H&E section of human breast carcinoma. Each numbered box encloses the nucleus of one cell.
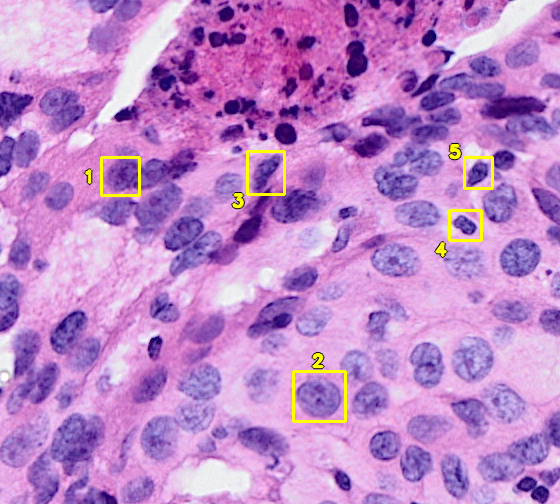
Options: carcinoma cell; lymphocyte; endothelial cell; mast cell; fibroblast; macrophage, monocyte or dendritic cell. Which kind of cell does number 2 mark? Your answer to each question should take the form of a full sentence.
Cell 2 in the field is a carcinoma cell.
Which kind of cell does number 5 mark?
Of the numbered cells, the one labelled 5 is a lymphocyte.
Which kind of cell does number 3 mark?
Corresponding to a carcinoma cell is the cell labelled 3.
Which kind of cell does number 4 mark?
The marked nucleus 4 is that of a lymphocyte.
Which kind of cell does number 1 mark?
Corresponding to a carcinoma cell is the cell labelled 1.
